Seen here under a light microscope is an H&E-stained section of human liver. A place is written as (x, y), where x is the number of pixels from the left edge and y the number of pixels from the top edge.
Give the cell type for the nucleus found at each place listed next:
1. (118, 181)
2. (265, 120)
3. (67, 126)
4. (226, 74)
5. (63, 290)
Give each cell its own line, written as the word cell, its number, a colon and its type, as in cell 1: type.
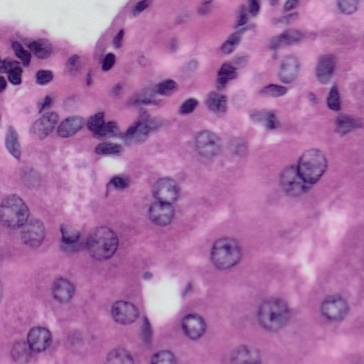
cell 1: fibroblast or stellate cell
cell 2: fibroblast or stellate cell
cell 3: cholangiocyte
cell 4: fibroblast or stellate cell
cell 5: hepatocyte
